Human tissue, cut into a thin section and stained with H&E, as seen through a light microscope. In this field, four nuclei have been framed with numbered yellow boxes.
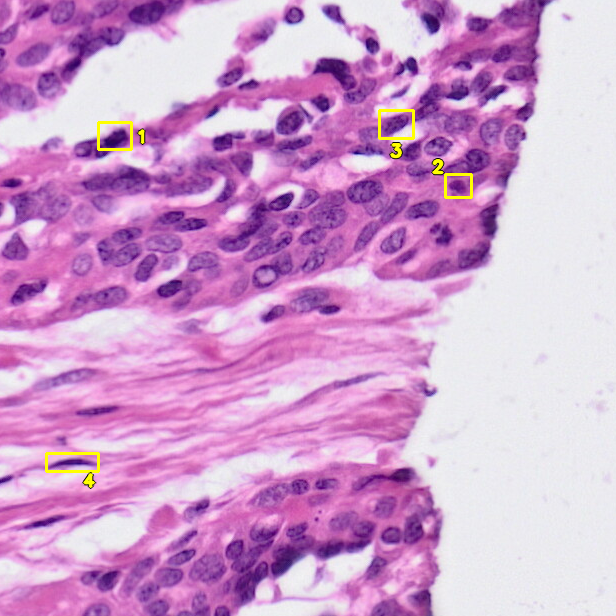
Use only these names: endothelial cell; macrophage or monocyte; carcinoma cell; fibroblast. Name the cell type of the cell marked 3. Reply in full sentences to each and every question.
Cell 3 in the field of view is a carcinoma cell.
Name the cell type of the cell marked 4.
Here, the cell given the number 4 is a fibroblast.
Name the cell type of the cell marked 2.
To a carcinoma cell belongs the nucleus marked 2.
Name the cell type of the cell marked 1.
The cell tagged with 1 in this tissue section is a carcinoma cell.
